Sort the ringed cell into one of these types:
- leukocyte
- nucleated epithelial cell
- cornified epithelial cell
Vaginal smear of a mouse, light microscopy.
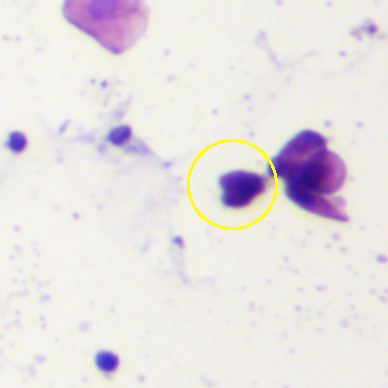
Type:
nucleated epithelial cell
